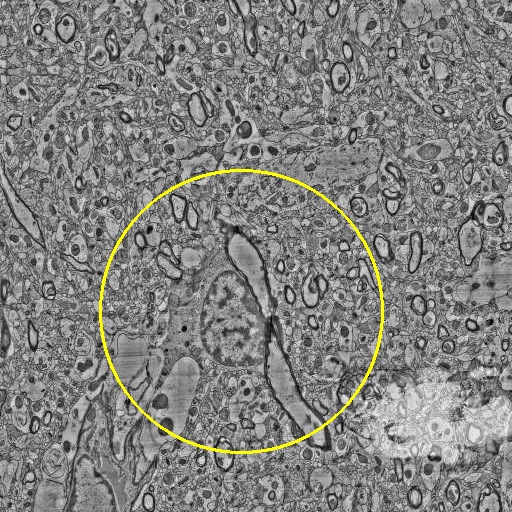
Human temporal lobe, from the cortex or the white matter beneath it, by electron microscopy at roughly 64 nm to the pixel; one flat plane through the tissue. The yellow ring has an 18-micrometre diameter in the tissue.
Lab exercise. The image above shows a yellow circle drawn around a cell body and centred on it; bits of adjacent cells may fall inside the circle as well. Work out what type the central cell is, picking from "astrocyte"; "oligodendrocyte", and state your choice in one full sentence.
In the image above, the cell at the centre of the yellow circle is an oligodendrocyte.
